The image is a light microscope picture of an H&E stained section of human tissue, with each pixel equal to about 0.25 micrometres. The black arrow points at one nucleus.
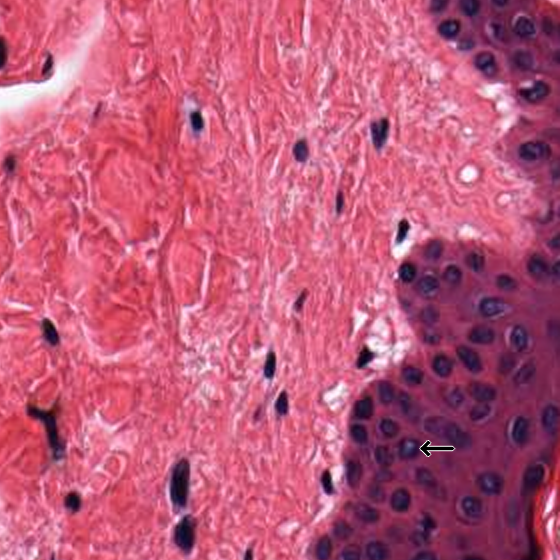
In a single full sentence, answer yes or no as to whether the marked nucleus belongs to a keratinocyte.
Yes, the marked nucleus is housed in a keratinocyte.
